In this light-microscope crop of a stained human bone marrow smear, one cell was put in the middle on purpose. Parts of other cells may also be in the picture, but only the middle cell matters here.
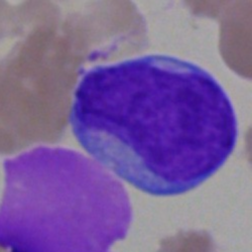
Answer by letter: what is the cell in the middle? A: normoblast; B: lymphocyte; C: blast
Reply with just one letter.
C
